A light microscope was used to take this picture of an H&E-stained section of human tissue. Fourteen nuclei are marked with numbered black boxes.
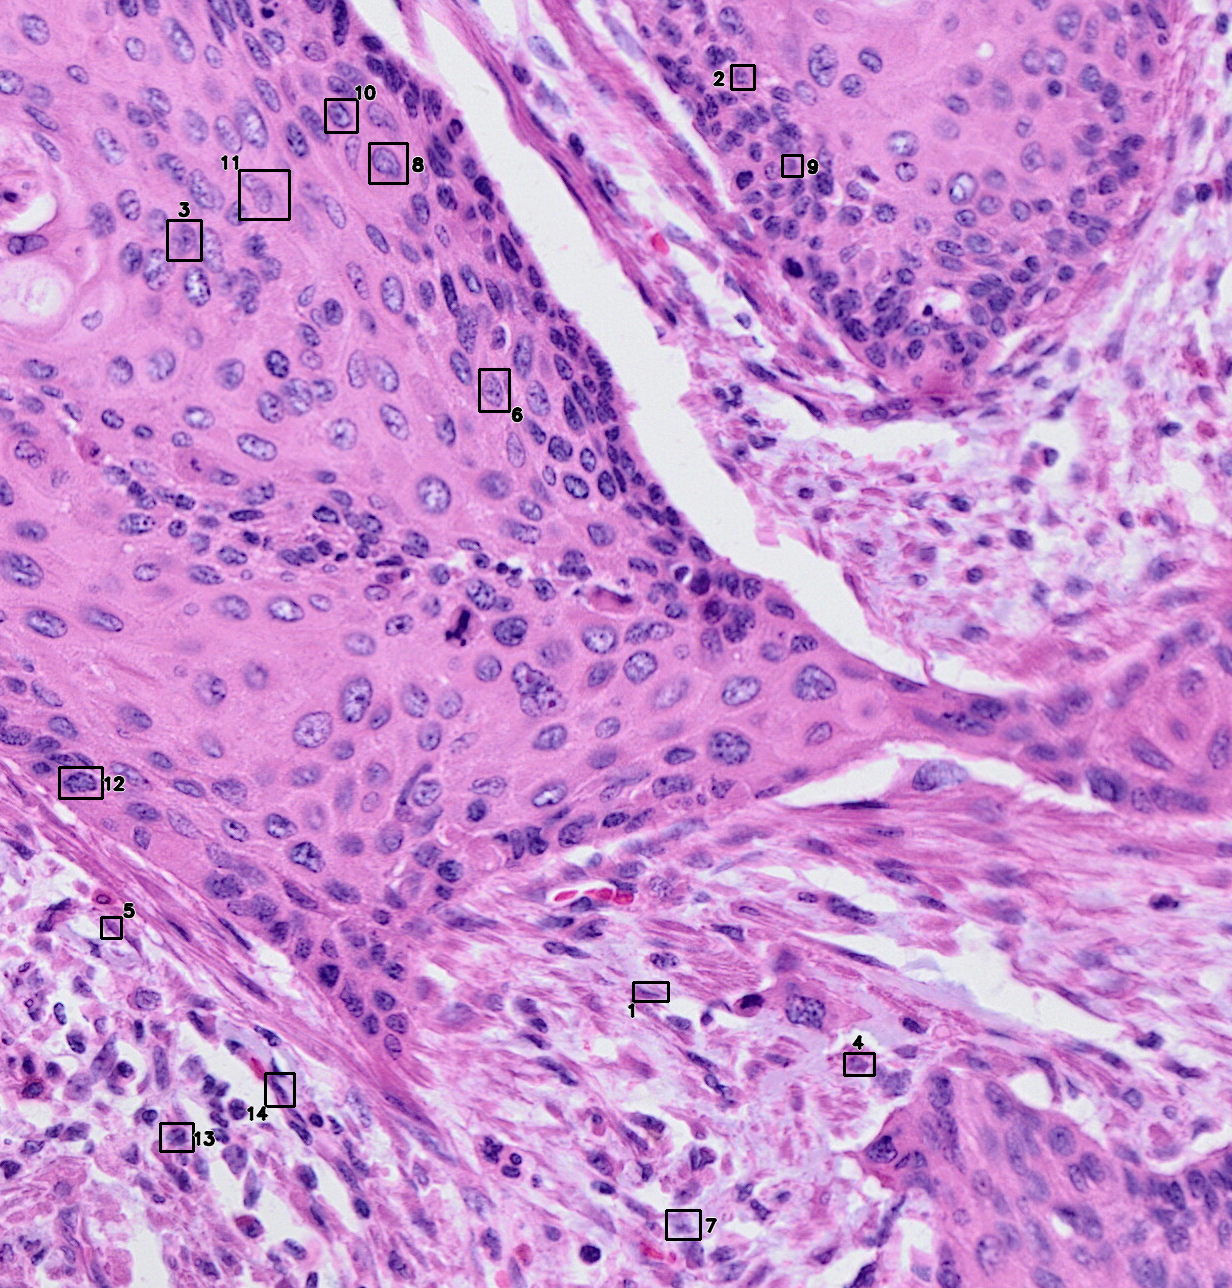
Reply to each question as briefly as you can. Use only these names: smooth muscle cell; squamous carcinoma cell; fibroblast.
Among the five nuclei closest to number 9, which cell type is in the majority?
squamous carcinoma cell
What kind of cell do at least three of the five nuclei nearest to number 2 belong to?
squamous carcinoma cell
